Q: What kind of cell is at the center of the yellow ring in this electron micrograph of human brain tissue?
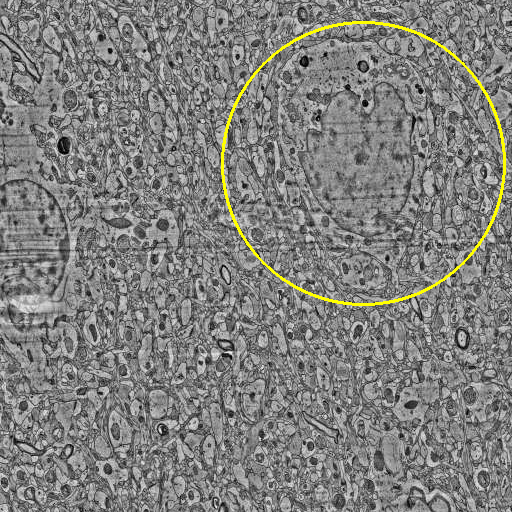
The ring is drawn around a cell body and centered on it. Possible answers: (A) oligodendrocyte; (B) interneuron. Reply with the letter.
B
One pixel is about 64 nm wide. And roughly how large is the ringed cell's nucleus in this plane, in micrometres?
About 10 by 7 micrometers, in this plane.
